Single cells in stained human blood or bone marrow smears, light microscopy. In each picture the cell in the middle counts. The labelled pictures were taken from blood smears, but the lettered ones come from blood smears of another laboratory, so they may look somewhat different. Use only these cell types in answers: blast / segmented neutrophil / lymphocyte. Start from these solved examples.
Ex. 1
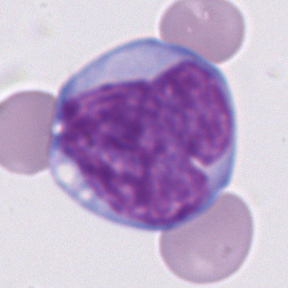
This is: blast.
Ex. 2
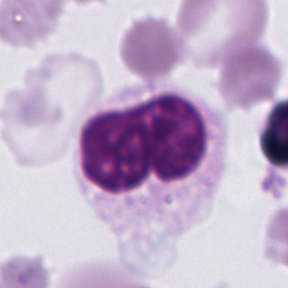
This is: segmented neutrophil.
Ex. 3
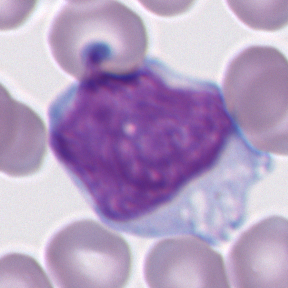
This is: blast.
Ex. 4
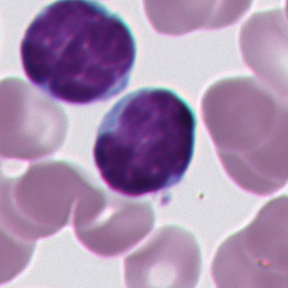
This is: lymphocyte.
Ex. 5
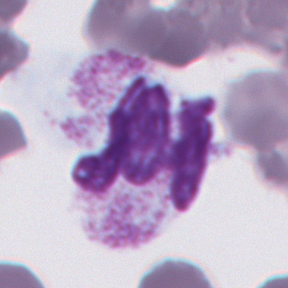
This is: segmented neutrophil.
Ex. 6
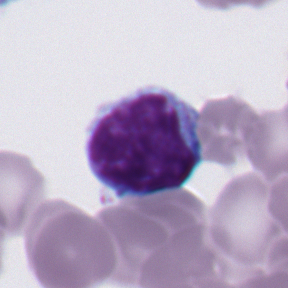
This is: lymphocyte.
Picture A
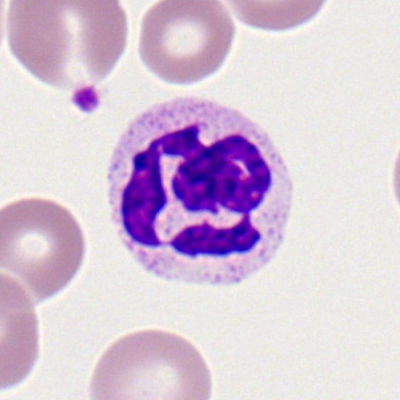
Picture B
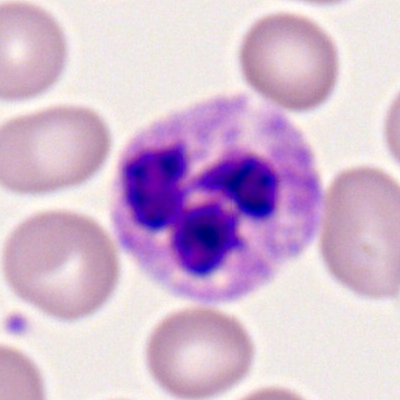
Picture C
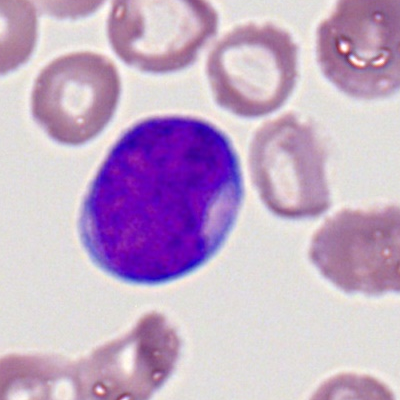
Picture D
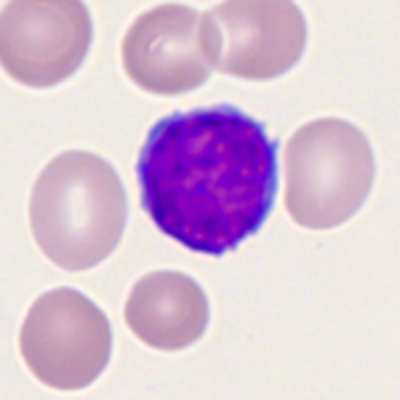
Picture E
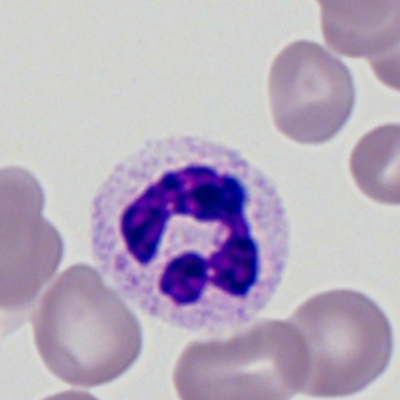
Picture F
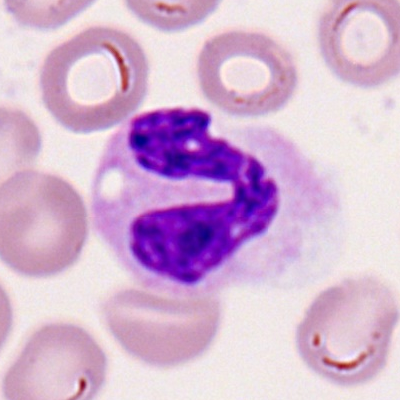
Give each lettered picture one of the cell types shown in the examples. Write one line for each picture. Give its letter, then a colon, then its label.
A: segmented neutrophil.
B: segmented neutrophil.
C: blast.
D: lymphocyte.
E: segmented neutrophil.
F: segmented neutrophil.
